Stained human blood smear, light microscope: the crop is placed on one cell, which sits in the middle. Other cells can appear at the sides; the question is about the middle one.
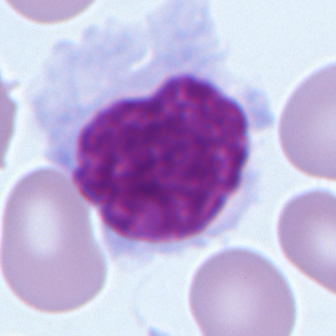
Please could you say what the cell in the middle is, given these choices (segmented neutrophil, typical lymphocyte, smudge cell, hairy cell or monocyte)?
hairy cell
